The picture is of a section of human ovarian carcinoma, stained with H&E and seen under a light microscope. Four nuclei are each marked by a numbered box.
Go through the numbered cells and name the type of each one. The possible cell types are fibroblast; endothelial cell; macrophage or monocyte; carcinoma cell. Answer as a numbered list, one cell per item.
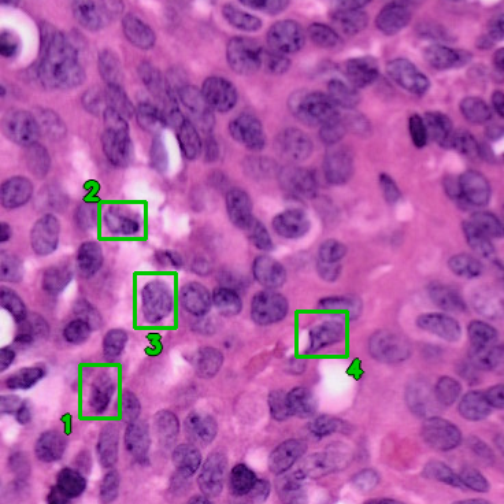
1. carcinoma cell
2. macrophage or monocyte
3. macrophage or monocyte
4. endothelial cell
